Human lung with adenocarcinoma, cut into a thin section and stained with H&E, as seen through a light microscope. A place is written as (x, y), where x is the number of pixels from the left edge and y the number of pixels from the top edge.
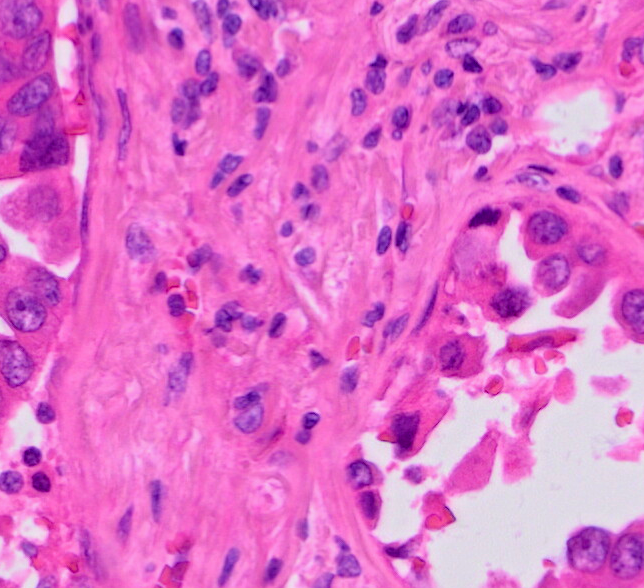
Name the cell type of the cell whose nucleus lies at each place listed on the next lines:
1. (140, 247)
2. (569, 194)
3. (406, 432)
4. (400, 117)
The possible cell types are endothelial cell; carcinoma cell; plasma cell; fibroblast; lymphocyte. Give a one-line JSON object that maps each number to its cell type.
{"1": "fibroblast", "2": "lymphocyte", "3": "carcinoma cell", "4": "plasma cell"}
